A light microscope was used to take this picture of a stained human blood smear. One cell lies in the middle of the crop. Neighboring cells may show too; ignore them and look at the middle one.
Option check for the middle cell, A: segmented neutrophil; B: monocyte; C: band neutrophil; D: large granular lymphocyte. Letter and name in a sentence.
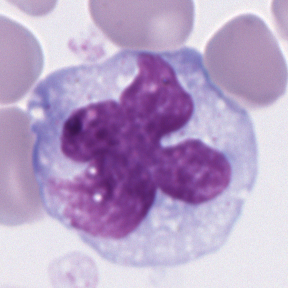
Answer key: option B, the middle cell being a monocyte.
